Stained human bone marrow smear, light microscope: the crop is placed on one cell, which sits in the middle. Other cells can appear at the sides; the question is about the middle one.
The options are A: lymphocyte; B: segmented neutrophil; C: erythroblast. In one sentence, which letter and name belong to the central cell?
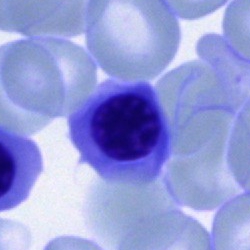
Given that the cell in the middle is an erythroblast, option C is correct.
